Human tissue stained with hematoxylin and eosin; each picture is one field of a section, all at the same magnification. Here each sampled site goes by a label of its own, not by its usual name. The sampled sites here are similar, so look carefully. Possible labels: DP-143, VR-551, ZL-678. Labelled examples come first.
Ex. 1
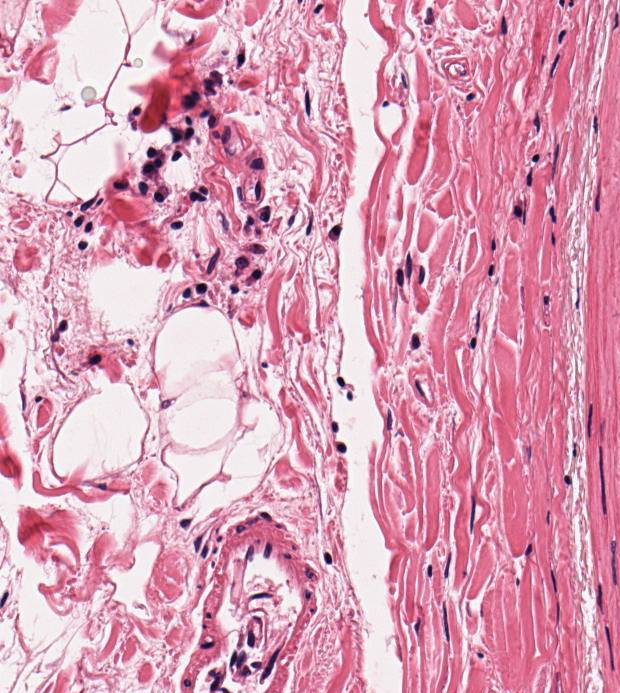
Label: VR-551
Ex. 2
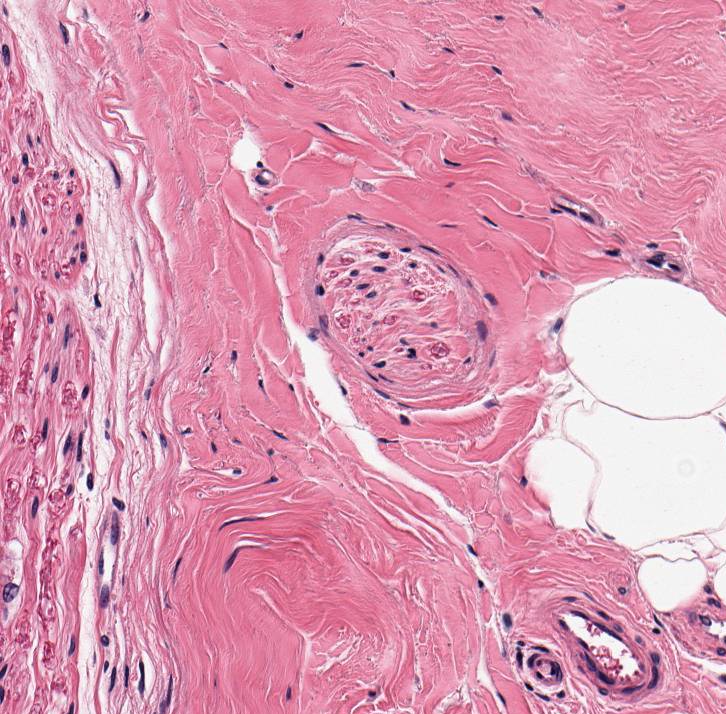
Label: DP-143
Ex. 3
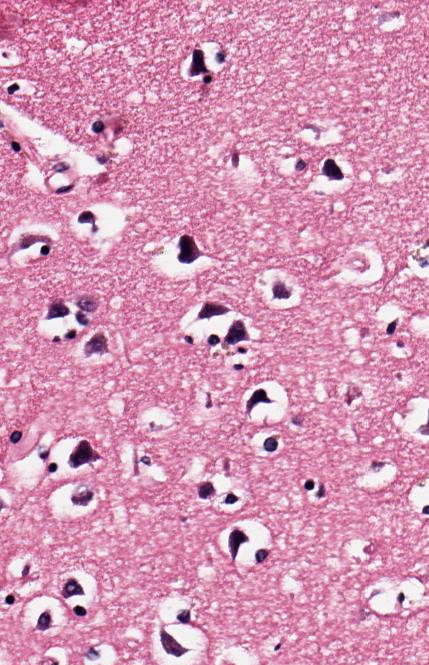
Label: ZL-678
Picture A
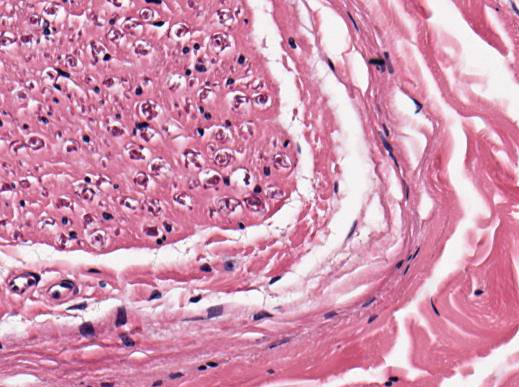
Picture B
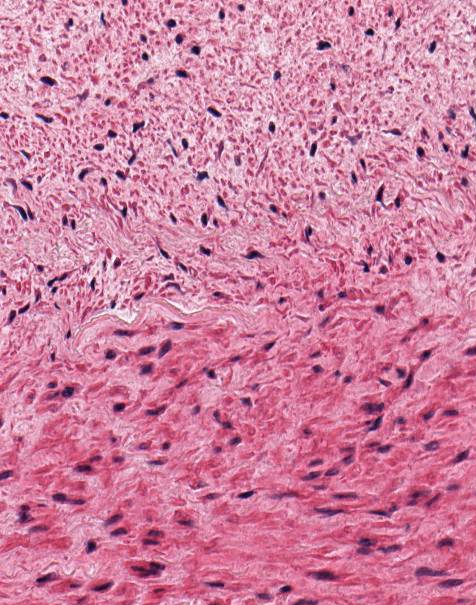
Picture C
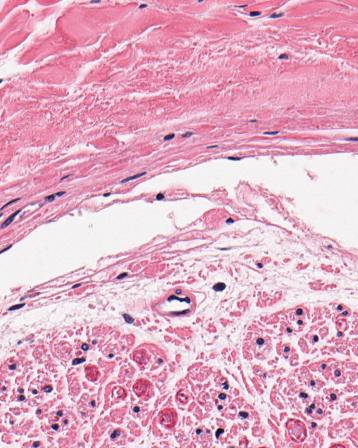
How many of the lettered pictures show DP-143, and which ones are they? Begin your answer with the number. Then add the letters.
2, namely A, C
